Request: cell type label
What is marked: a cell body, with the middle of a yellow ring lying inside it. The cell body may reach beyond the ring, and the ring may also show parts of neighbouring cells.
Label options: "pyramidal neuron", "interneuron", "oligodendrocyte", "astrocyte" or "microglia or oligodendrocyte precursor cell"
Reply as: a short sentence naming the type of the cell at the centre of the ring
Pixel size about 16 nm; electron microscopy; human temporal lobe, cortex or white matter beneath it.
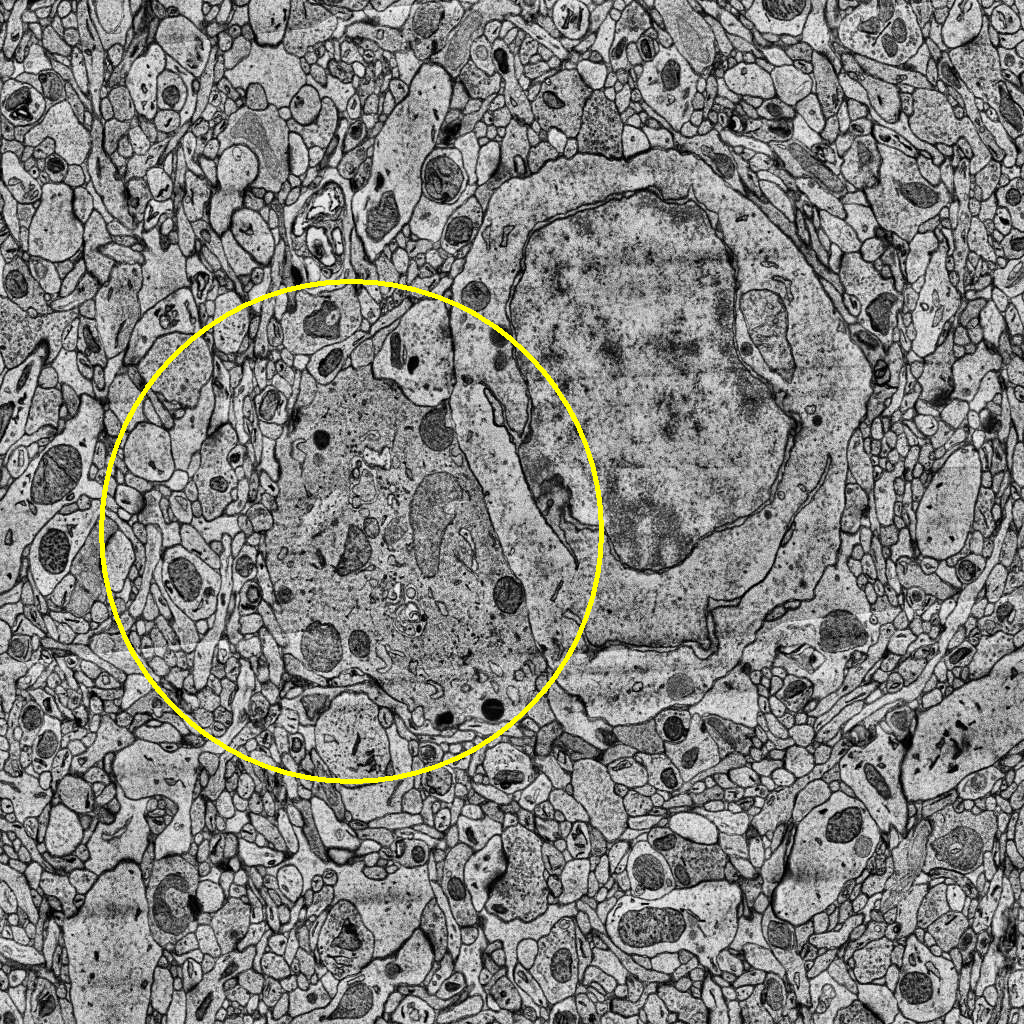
The marked cell body is that of an oligodendrocyte.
